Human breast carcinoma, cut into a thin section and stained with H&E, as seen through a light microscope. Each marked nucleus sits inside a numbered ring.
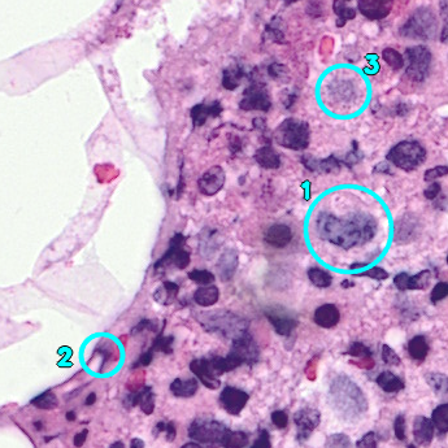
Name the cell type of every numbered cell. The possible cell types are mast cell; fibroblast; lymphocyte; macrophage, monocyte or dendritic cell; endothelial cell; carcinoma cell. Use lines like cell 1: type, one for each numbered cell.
cell 1: carcinoma cell
cell 2: endothelial cell
cell 3: macrophage, monocyte or dendritic cell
